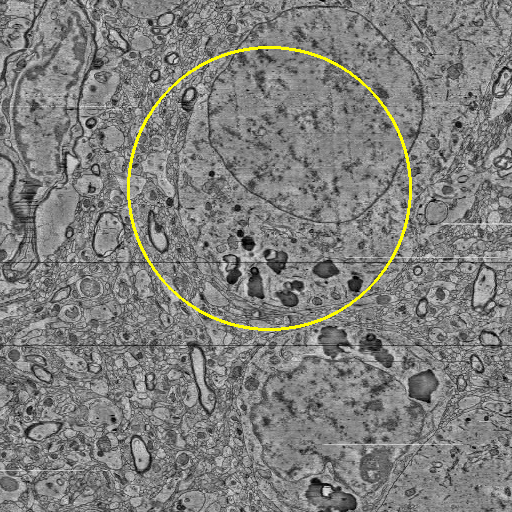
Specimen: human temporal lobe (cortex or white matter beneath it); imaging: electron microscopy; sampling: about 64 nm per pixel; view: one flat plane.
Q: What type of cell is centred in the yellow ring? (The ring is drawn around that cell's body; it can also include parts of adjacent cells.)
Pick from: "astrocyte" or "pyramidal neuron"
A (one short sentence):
The yellow ring is centred on a pyramidal neuron.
